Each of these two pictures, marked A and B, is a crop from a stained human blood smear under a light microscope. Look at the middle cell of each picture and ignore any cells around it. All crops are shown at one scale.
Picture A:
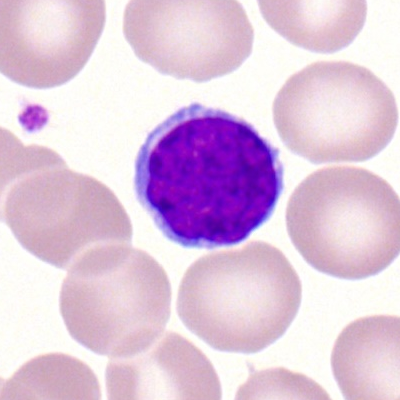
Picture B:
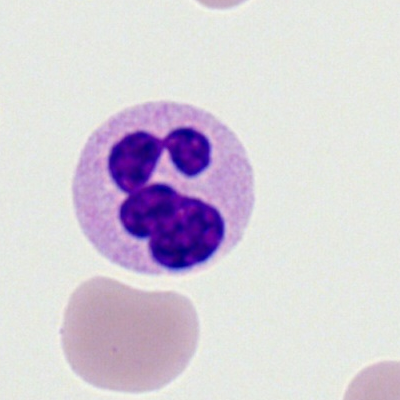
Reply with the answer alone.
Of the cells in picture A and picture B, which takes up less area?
A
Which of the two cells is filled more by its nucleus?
A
